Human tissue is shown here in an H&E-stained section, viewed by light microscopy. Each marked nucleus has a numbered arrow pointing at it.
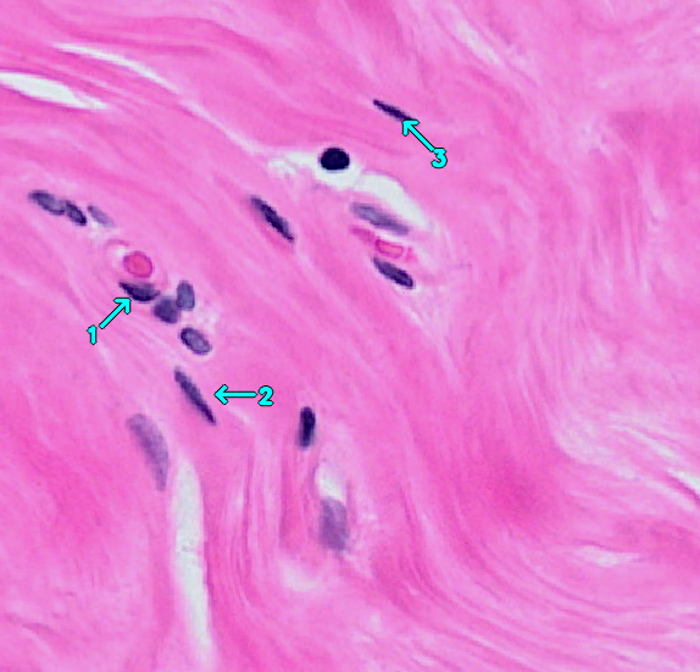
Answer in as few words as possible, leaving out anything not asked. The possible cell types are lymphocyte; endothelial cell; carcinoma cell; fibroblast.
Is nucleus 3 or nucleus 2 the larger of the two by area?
2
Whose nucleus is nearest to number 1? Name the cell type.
lymphocyte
